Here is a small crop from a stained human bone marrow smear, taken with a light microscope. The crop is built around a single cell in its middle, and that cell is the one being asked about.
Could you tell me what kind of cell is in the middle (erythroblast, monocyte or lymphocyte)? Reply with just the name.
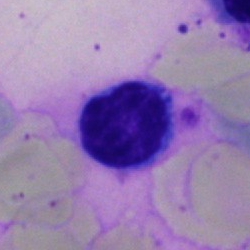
lymphocyte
